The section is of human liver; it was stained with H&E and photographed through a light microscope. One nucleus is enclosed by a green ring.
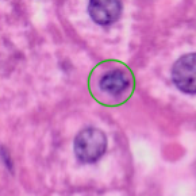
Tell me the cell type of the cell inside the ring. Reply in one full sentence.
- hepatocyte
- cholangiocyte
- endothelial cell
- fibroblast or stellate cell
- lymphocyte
In this preparation, the cell inside the ring is a fibroblast or stellate cell.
